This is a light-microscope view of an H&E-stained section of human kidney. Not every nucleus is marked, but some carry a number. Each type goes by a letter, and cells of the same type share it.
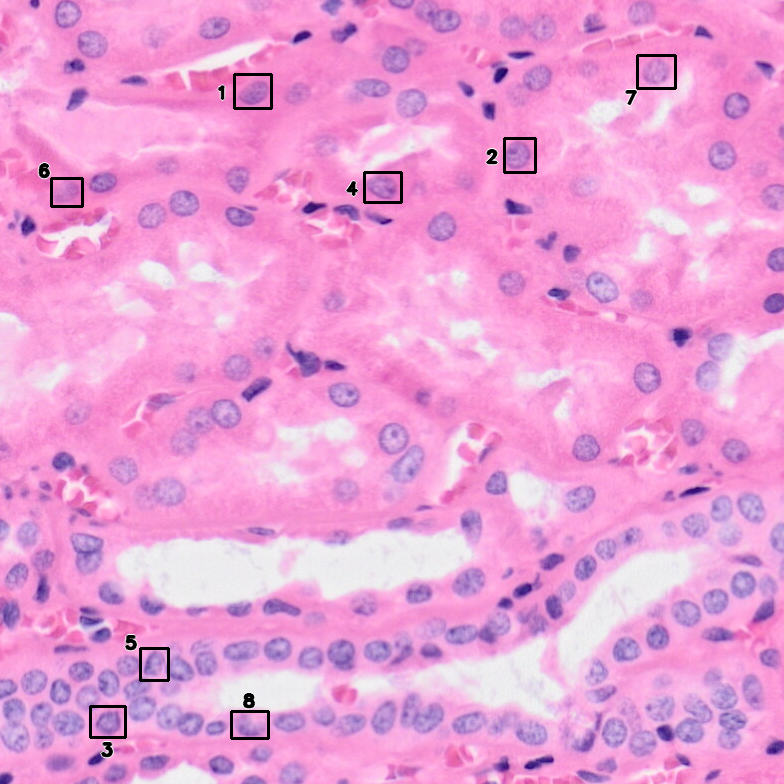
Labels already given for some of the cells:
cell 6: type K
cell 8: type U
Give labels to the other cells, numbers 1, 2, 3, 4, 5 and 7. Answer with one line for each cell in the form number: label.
1: type K
2: type K
3: type U
4: type K
5: type U
7: type K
